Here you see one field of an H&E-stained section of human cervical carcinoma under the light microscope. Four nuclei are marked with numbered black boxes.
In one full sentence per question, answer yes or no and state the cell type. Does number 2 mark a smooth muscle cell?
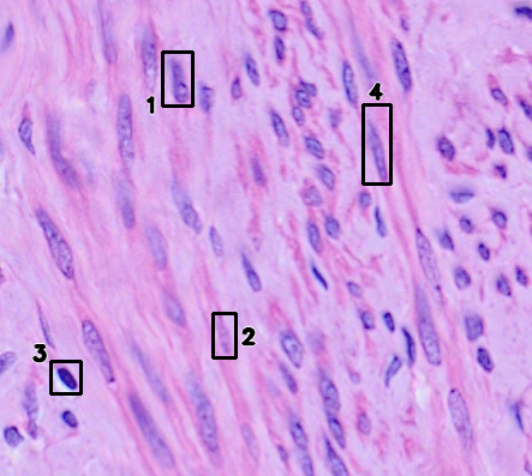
Yes, the nucleus numbered 2 belongs to a smooth muscle cell.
